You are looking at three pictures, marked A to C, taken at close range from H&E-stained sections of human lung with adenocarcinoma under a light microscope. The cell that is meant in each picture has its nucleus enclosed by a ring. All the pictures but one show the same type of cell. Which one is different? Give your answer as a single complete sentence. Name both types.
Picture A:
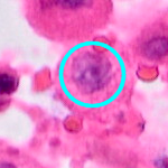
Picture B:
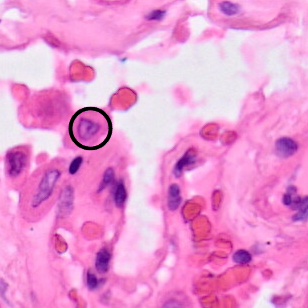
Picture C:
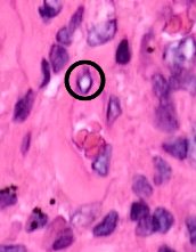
All pictures except C show “macrophages or monocytes”; picture C shows an endothelial cell.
